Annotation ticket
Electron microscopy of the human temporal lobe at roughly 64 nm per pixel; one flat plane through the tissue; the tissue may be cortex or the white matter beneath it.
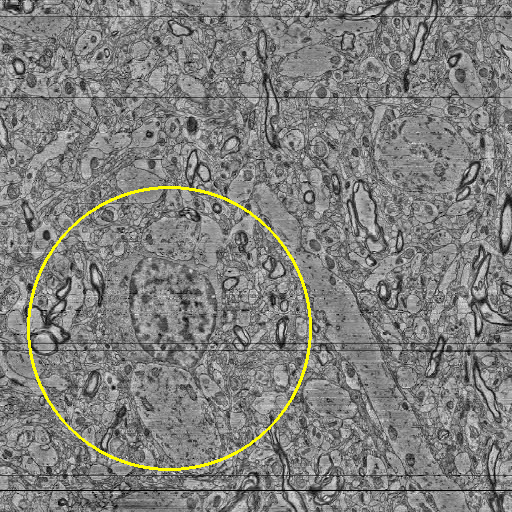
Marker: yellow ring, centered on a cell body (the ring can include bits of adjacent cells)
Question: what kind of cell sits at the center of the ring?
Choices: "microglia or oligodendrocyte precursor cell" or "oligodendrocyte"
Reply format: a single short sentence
The ring is centered on an oligodendrocyte.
